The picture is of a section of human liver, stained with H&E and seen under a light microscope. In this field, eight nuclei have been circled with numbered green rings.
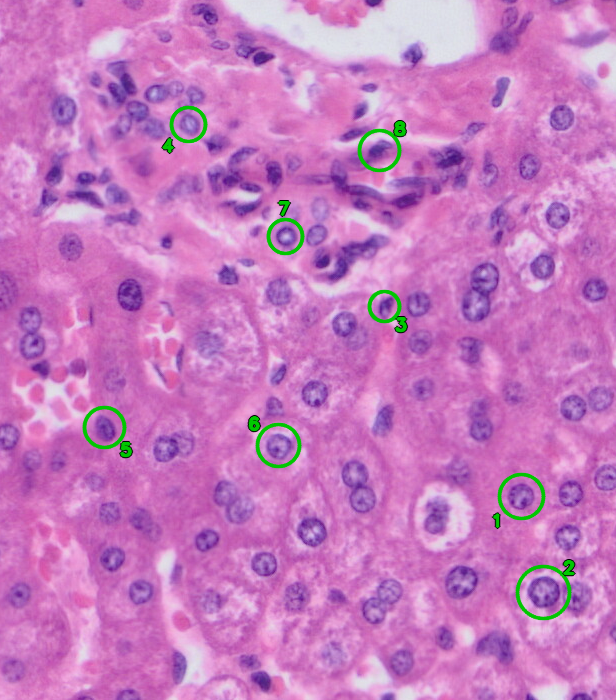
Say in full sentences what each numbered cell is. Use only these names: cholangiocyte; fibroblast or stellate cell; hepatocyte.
Cell 1 is a hepatocyte, cell 2 is a hepatocyte, cell 3 is a fibroblast or stellate cell, cell 4 is a cholangiocyte, cell 5 is a fibroblast or stellate cell, cell 6 is a hepatocyte, cell 7 is a cholangiocyte and cell 8 is a fibroblast or stellate cell.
